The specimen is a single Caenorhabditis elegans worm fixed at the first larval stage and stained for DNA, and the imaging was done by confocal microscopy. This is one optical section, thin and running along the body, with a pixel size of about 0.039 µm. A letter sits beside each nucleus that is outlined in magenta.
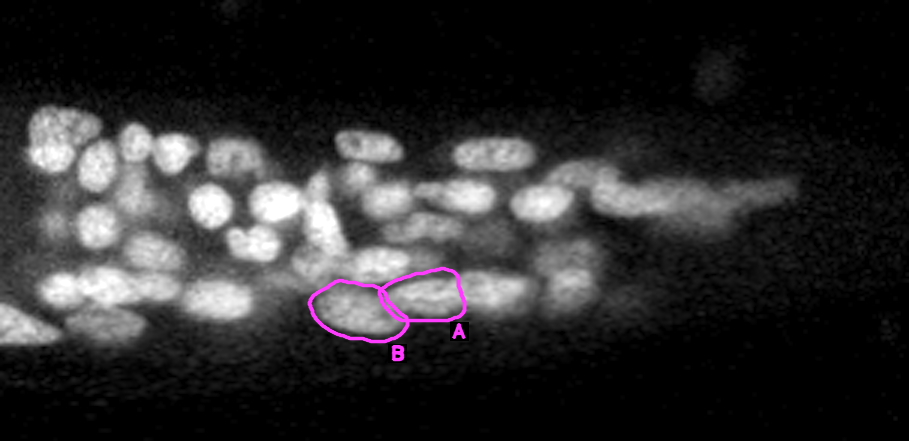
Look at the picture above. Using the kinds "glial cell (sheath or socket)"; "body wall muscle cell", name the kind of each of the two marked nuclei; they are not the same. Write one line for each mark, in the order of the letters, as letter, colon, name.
A: glial cell (sheath or socket)
B: body wall muscle cell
